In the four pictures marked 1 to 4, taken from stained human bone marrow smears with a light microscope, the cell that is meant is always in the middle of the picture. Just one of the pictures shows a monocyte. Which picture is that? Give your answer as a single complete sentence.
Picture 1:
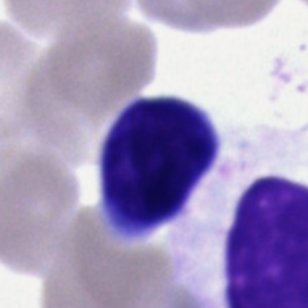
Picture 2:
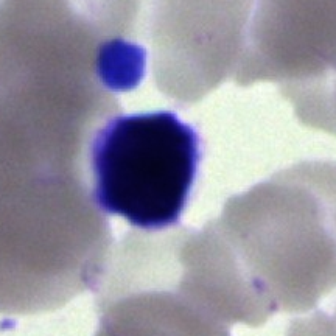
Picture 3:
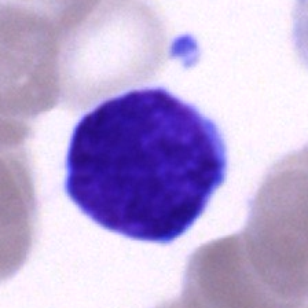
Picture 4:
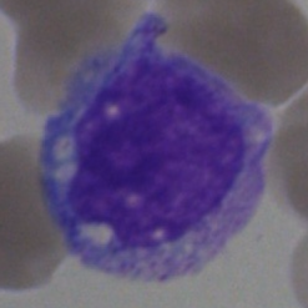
Picture 4 is the one that shows the monocyte.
